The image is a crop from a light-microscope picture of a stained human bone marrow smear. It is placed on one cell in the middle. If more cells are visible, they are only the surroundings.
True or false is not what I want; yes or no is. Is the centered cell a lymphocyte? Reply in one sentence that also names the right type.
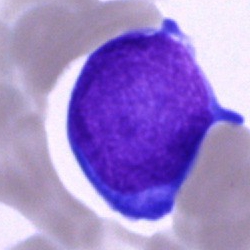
No, instead of being a lymphocyte, the middle cell is a blast.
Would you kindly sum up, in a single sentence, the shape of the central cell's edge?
Ragged or projecting, the border of this cell departs from a smooth contour.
